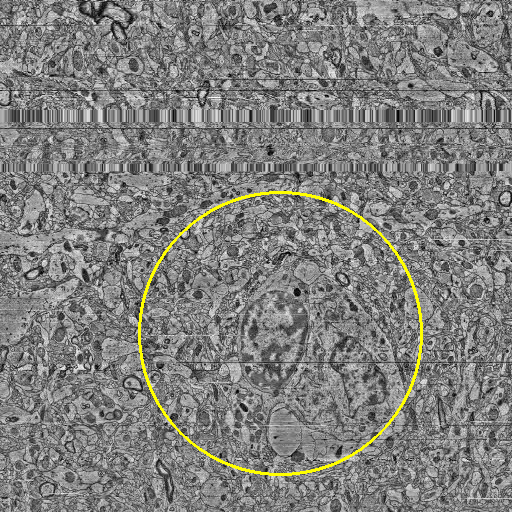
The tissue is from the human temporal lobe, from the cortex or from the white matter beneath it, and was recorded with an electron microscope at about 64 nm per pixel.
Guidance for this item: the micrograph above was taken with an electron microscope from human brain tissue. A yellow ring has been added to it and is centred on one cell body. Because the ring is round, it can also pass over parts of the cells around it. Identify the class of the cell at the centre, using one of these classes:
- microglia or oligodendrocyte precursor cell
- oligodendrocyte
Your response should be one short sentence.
The ring surrounds the body of an oligodendrocyte.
